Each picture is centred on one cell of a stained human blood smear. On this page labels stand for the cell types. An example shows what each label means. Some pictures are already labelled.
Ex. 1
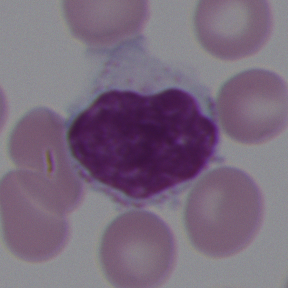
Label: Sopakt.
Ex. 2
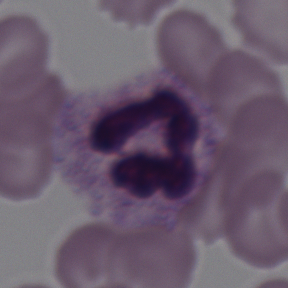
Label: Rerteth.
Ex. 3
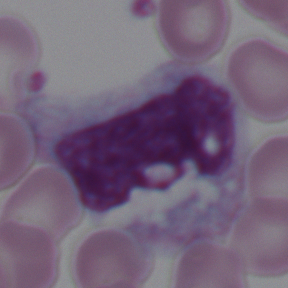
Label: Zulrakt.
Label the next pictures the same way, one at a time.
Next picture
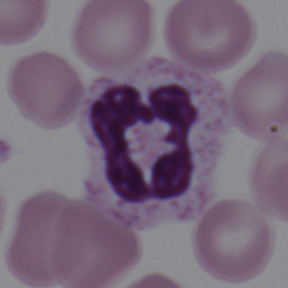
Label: Rerteth.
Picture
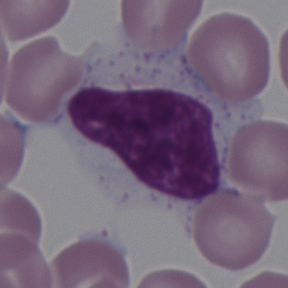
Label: Sopakt.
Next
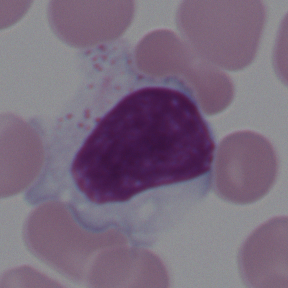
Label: Sopakt.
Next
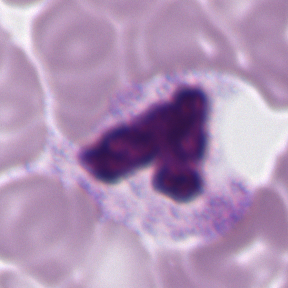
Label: Rerteth.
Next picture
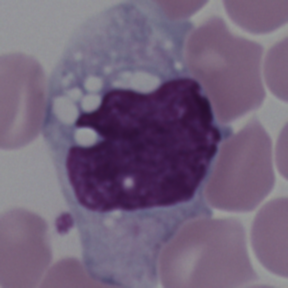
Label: Zulrakt.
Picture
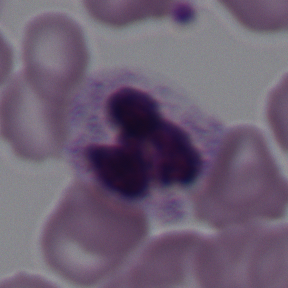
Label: Rerteth.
